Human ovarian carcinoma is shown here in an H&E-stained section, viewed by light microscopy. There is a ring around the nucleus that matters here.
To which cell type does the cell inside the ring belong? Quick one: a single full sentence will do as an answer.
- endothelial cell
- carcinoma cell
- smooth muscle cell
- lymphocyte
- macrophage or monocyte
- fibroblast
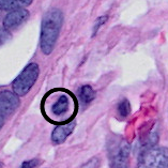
Cytologically, the cell inside the ring is to be regarded as a lymphocyte.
